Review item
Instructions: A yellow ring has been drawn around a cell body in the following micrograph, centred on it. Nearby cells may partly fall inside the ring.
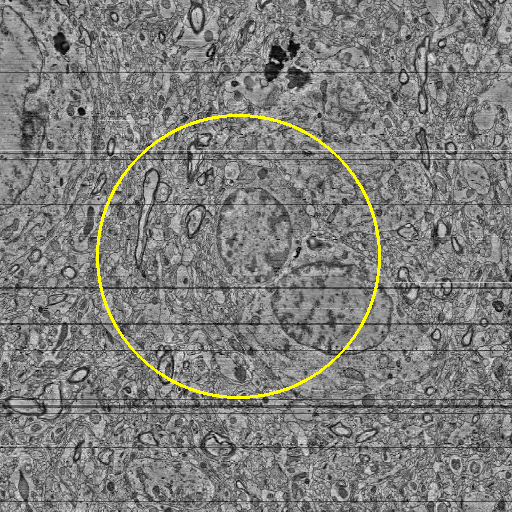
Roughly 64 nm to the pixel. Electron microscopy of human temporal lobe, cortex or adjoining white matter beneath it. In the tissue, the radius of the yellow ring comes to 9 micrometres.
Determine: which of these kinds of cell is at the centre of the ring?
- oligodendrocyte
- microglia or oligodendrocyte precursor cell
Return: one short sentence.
The cell body in the middle of the ring is that of an oligodendrocyte.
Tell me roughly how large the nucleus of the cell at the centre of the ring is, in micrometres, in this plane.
About 6 by 5 micrometers, in this plane.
